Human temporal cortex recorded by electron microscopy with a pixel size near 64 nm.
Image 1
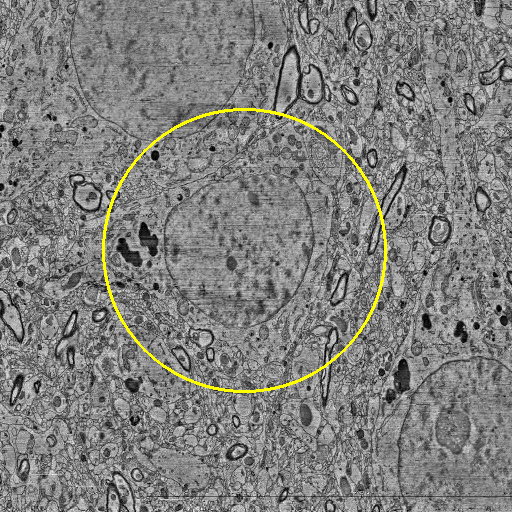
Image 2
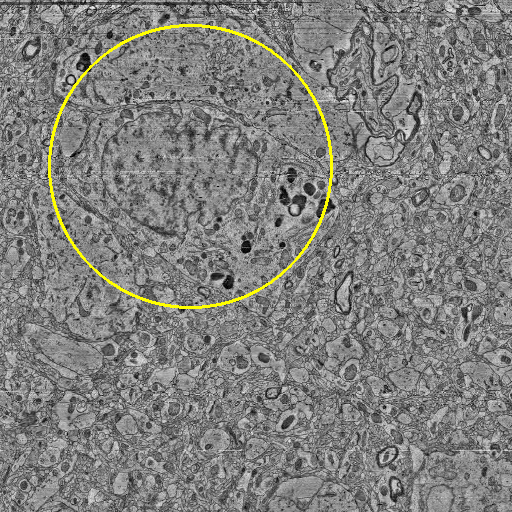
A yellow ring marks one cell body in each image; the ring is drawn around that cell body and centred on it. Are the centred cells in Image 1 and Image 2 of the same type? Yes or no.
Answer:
yes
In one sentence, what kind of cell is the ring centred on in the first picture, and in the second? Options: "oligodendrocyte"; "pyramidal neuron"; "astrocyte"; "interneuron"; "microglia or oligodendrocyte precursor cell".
The first and the second cell are each an interneuron.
